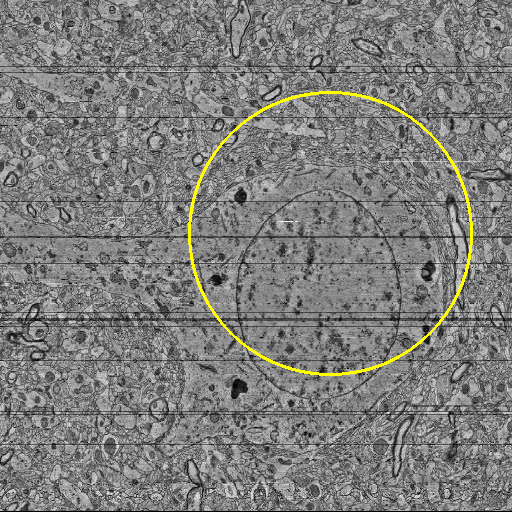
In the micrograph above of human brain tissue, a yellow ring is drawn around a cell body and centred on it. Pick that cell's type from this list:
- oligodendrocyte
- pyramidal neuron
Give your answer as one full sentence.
Going by the list, a pyramidal neuron is the cell on which the yellow ring is centred.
